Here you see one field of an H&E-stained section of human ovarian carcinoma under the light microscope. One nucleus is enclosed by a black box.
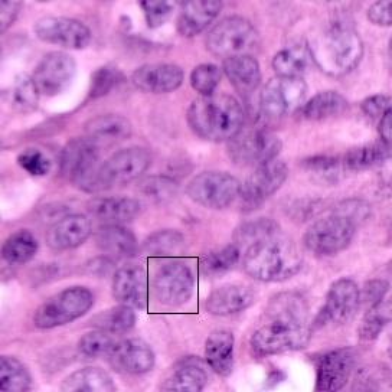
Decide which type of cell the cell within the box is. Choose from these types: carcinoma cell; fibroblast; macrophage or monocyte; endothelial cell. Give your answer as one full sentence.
In this field of tissue, the cell within the box is a carcinoma cell.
